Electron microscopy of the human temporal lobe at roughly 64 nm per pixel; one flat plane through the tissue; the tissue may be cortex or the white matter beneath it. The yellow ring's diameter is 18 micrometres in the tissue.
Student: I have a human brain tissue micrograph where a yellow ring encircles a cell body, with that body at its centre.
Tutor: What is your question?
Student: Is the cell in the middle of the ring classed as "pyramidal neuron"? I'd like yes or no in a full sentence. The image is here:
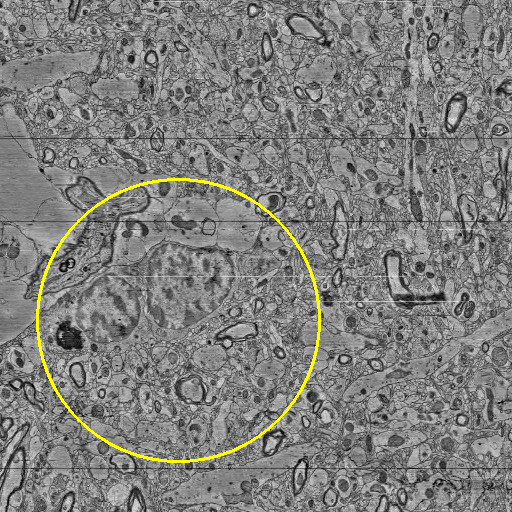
No, the ringed cell in the middle counts as another kind.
